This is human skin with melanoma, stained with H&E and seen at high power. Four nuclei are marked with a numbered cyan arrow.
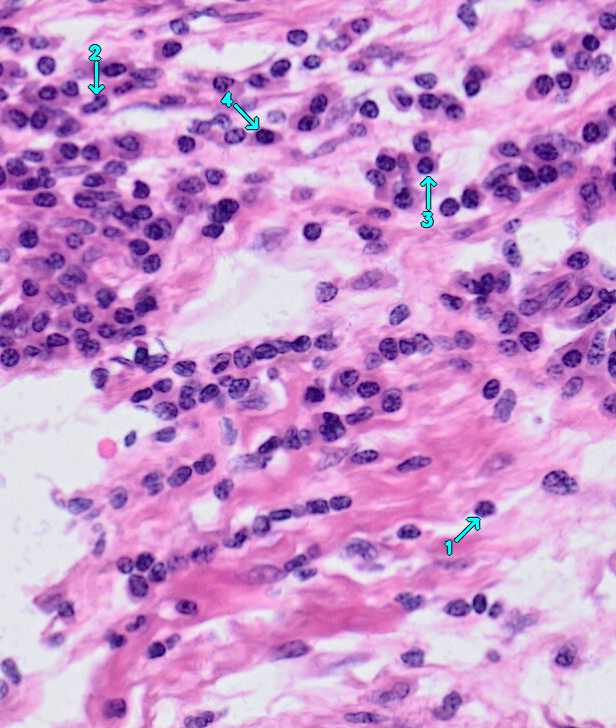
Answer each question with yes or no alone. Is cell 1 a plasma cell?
no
